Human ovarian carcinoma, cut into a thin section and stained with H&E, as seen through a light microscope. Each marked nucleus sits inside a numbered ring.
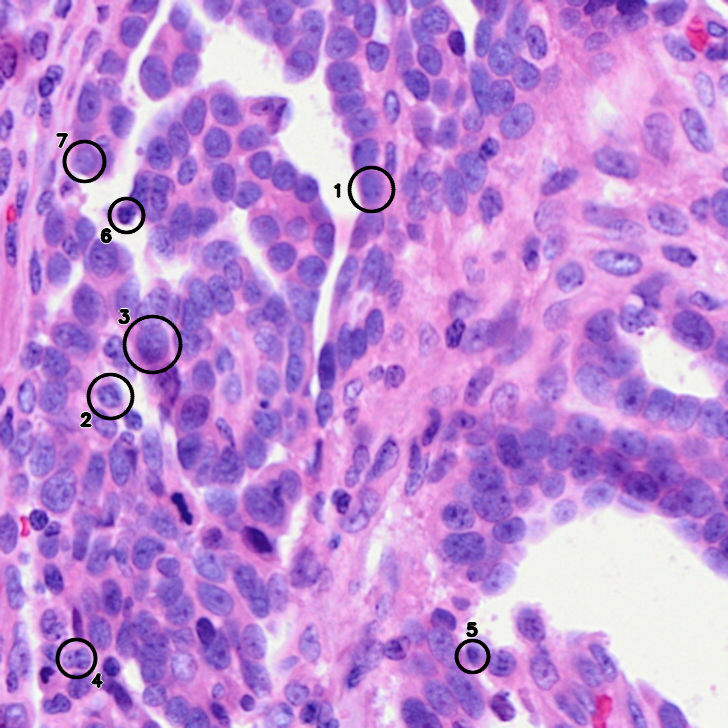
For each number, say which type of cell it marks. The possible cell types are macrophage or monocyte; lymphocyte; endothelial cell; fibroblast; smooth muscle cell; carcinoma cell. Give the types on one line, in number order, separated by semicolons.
carcinoma cell; macrophage or monocyte; carcinoma cell; macrophage or monocyte; lymphocyte; lymphocyte; carcinoma cell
